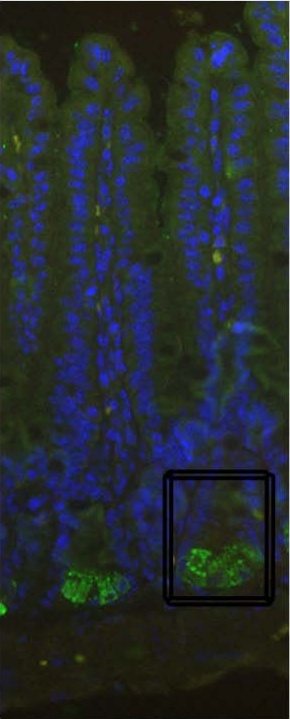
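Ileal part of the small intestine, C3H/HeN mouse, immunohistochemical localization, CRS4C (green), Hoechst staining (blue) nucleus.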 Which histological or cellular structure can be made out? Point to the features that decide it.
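Crypts of Liberkühn. Tall finger-like villi lined by columnar epithelium with blue nuclei project upward. Narrow tubular glands extend down beneath the villi toward the muscle layer.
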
